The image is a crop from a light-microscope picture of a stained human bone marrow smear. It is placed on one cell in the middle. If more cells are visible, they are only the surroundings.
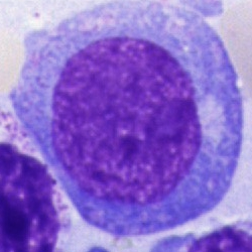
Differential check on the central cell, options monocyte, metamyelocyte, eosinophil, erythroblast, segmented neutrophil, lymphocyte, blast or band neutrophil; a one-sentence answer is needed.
The crop centres on a single cell, and that cell is a blast.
